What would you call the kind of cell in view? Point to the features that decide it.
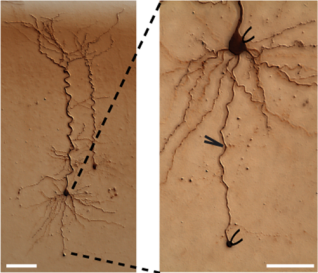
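Several thinner dendrites spread from the base of the cell body. A thin unbranched process runs downward from the cell body. On this evidence: pyramidal neuron.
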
